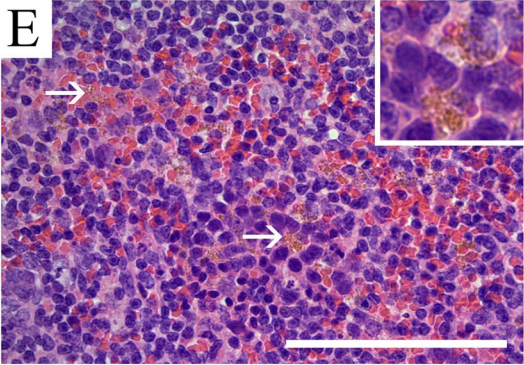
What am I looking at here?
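This is splenic red pulp at high magnification, with numerous red blood cells, small lymphoid cells and larger macrophages. The red blood cells appear as small anucleate bright red-pink discs scattered densely between nucleated cells. Many small round cells have dark, densely purple nuclei and scant cytoplasm. Larger cells with pale pink-violet cytoplasm contain granular golden-brown to yellow pigment. The inset enlarges such cells, showing the pigment granules clustered within their cytoplasm beside the nucleus.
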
